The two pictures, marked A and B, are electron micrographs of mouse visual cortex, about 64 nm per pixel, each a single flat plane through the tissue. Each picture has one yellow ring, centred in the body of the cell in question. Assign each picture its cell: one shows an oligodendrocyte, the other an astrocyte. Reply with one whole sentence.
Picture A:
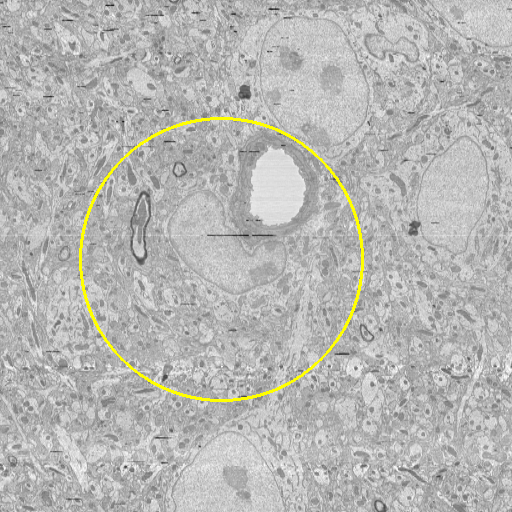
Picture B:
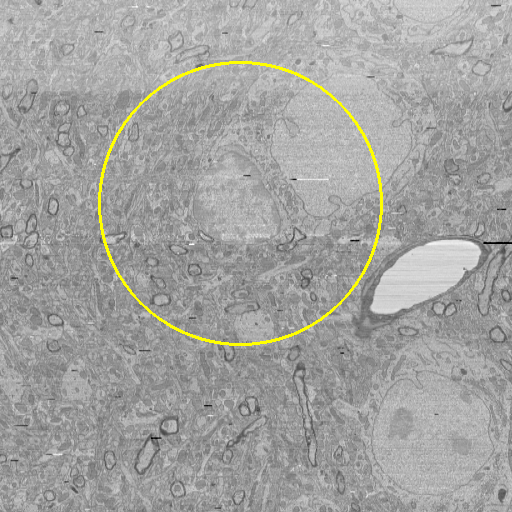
Picture A shows an astrocyte and picture B shows an oligodendrocyte.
